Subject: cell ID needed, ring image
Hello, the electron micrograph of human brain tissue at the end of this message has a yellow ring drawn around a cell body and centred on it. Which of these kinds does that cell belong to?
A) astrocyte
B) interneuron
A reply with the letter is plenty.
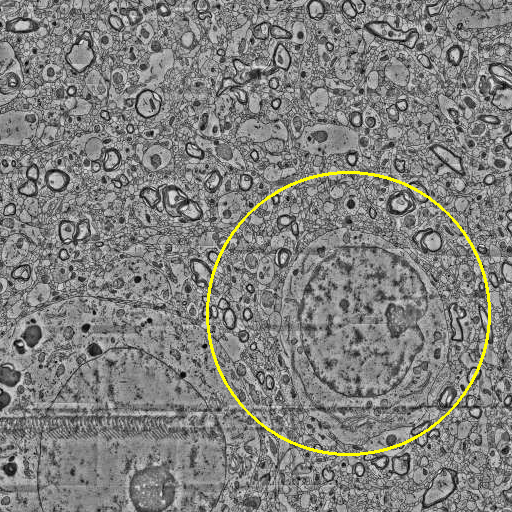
B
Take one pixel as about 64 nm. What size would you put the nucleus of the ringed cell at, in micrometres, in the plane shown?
The ringed cell's nucleus measures approximately 10 by 8 micrometres in this plane.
